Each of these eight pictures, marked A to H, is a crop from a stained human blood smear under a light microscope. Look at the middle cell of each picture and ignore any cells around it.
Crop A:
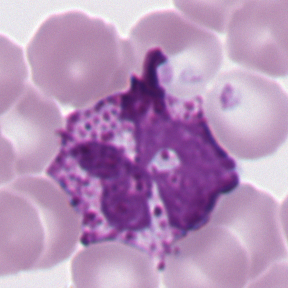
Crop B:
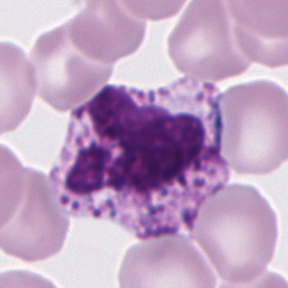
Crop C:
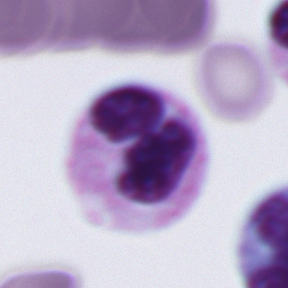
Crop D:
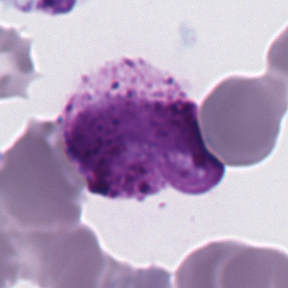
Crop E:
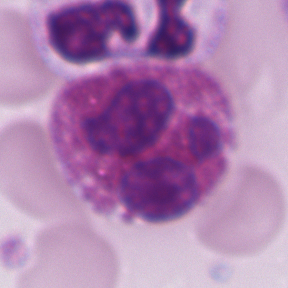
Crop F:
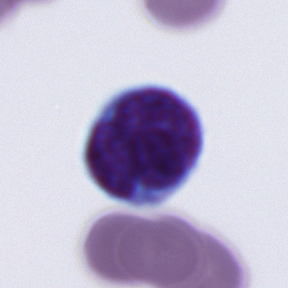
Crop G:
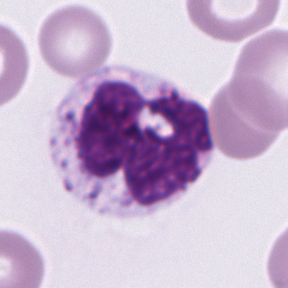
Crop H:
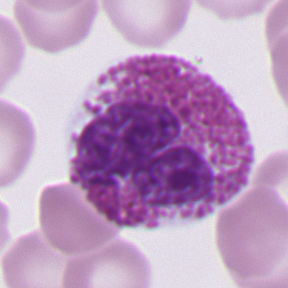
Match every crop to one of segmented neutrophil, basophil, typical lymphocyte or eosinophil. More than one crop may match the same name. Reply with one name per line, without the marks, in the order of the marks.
basophil
basophil
segmented neutrophil
basophil
eosinophil
typical lymphocyte
basophil
eosinophil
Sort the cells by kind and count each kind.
basophil: 4
eosinophil: 2
segmented neutrophil: 1
typical lymphocyte: 1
